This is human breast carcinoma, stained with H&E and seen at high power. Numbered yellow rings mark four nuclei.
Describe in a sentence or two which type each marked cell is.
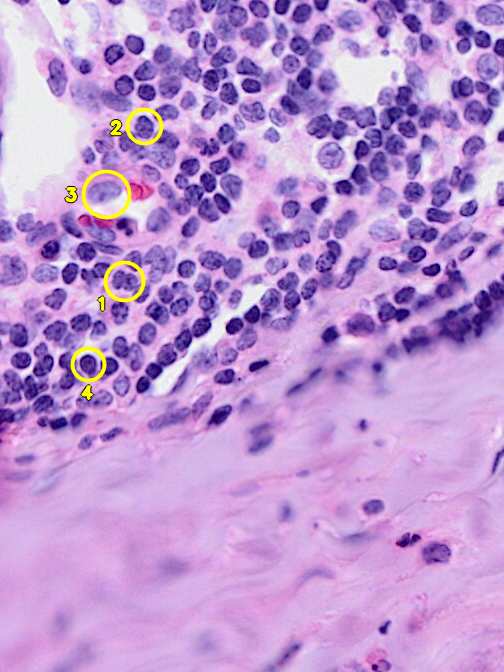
Cells 1, 2 and 4 are lymphocytes. Cell 3 is an endothelial cell.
